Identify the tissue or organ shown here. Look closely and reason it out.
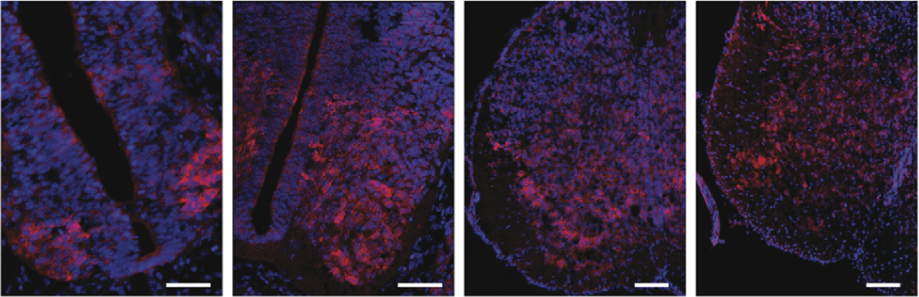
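Spinal cord. Transverse sections show a slit-like central canal lined by densely packed nuclei.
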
